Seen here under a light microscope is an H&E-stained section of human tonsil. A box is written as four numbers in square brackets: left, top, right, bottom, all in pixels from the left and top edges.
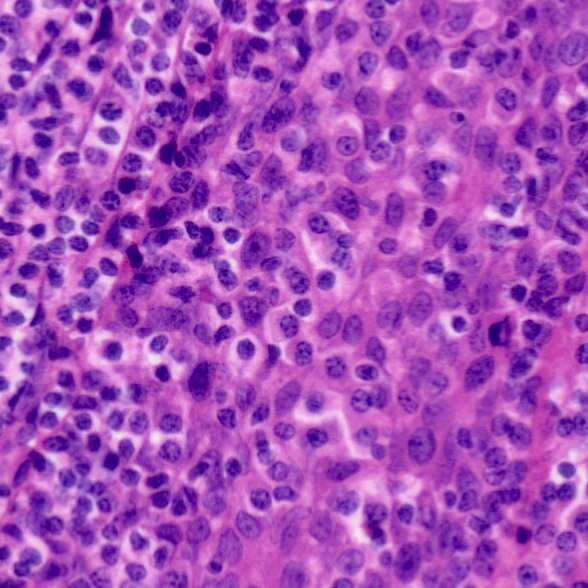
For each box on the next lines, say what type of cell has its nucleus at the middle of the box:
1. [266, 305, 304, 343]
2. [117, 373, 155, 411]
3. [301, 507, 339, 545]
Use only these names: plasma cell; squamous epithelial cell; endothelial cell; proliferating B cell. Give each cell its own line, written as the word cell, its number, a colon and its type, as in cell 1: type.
cell 1: plasma cell
cell 2: plasma cell
cell 3: squamous epithelial cell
